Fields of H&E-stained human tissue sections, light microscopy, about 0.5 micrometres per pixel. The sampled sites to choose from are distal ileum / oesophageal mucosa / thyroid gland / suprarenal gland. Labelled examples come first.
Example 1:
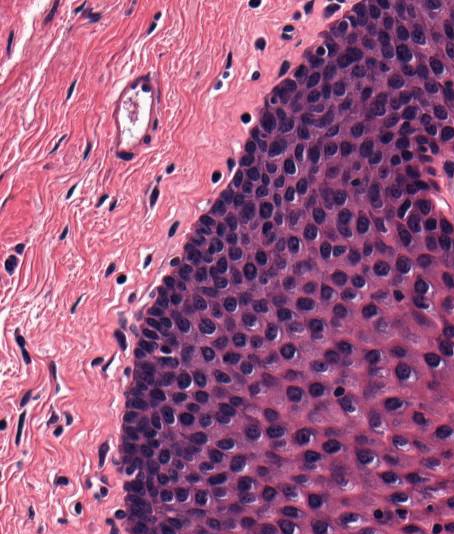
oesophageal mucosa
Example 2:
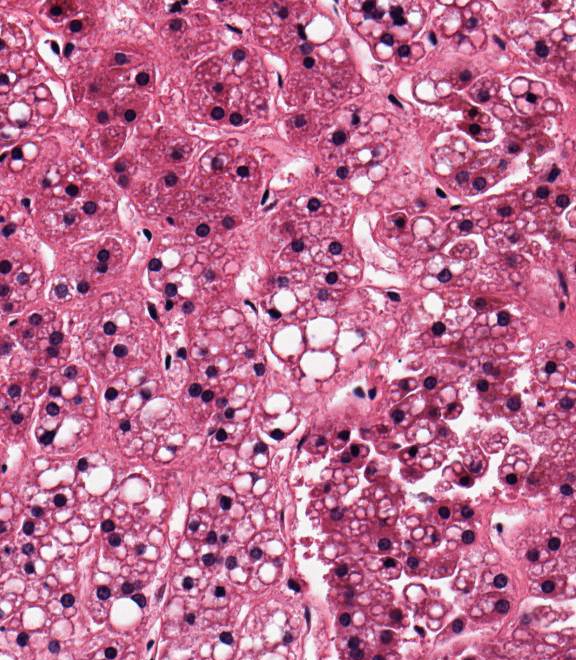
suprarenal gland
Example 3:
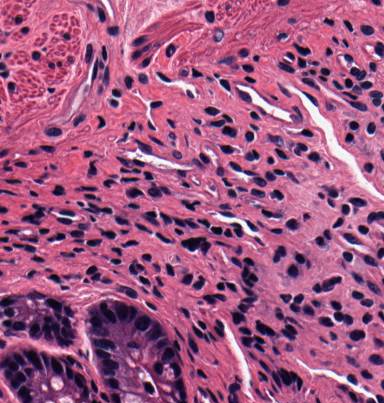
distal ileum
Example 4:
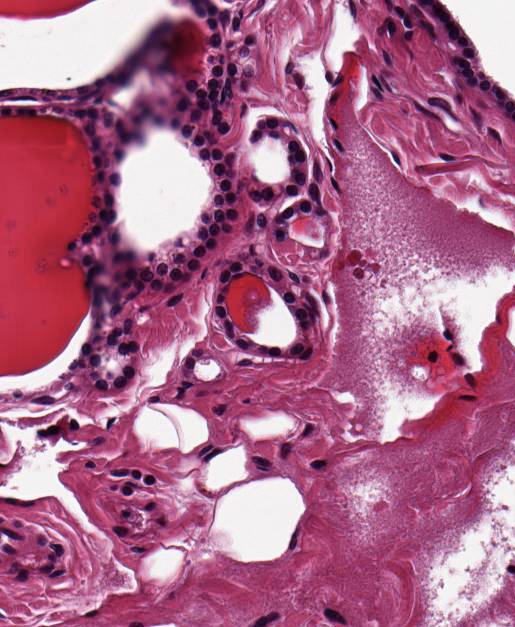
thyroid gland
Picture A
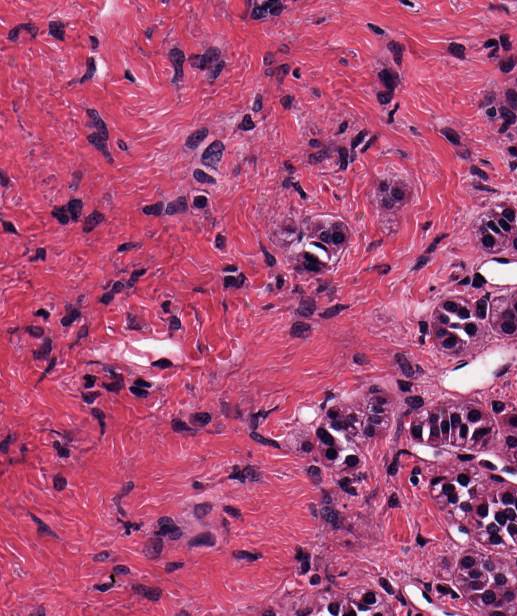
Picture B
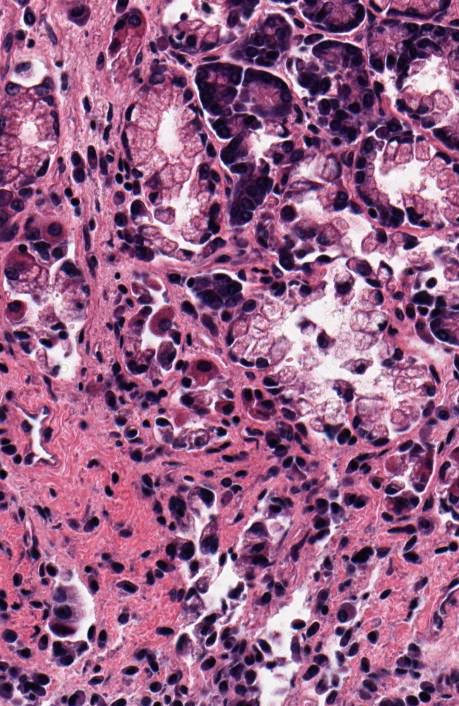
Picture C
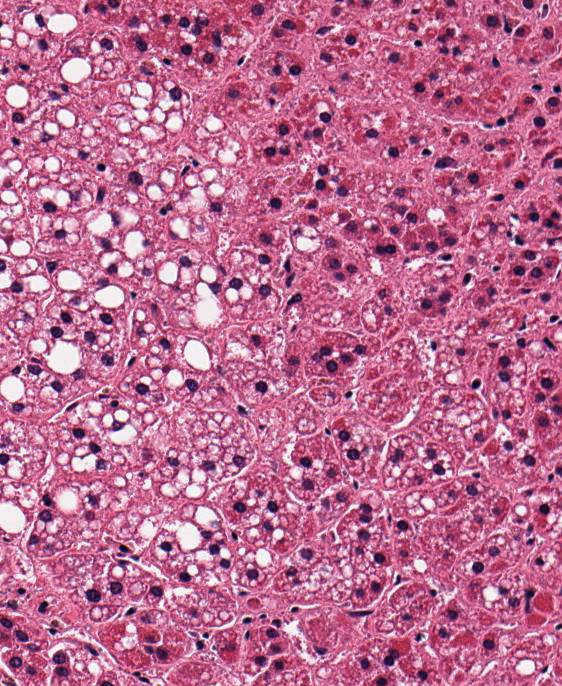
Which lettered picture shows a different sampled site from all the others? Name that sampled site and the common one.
Different: B, oesophageal mucosa. Others: suprarenal gland.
